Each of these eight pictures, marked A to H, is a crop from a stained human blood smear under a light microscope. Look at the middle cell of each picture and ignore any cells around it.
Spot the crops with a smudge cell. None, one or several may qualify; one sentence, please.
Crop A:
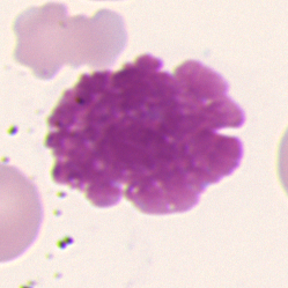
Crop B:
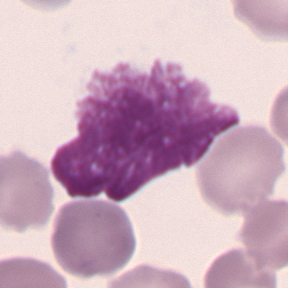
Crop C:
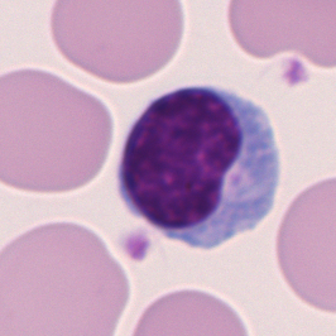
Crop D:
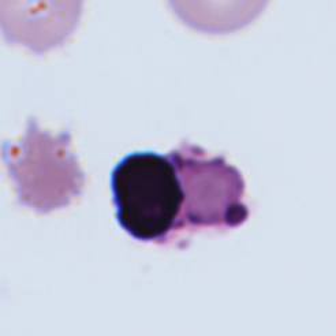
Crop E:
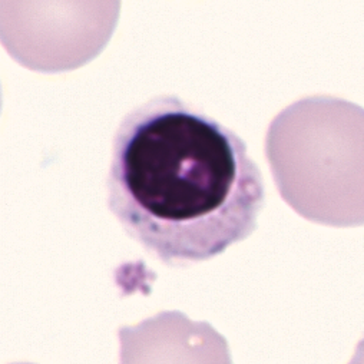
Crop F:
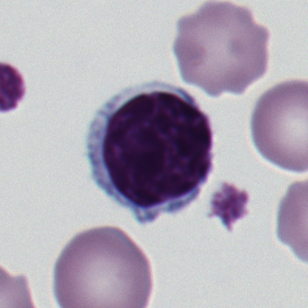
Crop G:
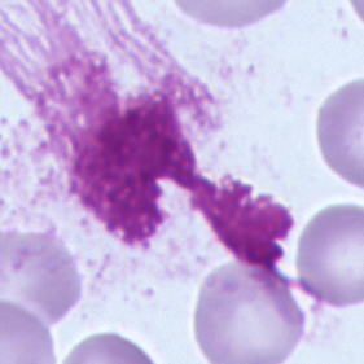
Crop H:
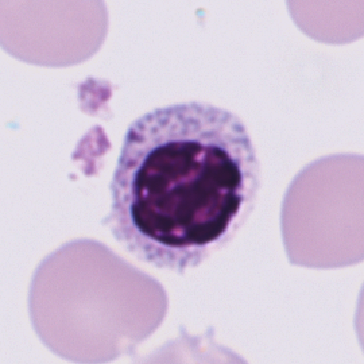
Crops A, B and G show smudge cells at their centres.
